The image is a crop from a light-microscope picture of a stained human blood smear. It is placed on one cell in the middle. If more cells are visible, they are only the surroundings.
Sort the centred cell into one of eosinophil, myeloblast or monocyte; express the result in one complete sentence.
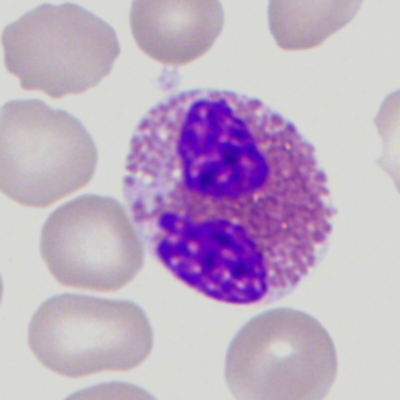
The cell around which this crop is centred is an eosinophil.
